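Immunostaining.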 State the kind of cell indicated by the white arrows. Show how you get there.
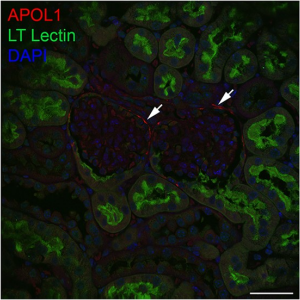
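Parietal cells. The arrows point to thin red lines at the outer rim of a round glomerulus. The marked lines lie along the capsule, not inside the tuft.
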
